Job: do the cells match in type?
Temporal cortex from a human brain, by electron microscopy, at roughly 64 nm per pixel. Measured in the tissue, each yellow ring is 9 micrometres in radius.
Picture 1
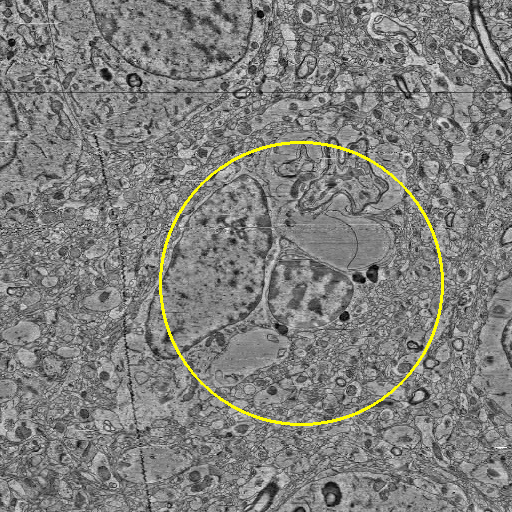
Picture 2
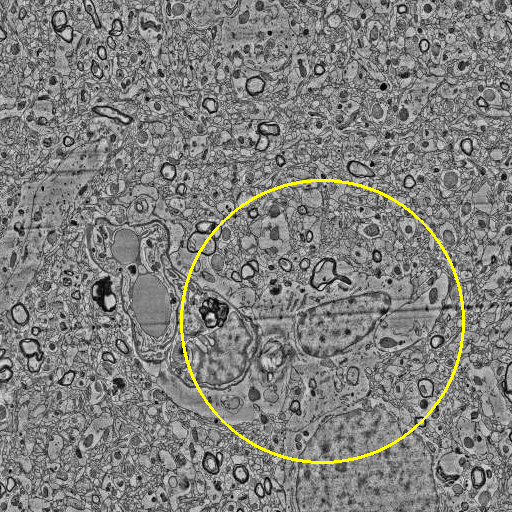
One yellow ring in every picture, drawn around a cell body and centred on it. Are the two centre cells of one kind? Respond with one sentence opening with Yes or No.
Yes, the ringed cells in the two pictures are of one and the same kind.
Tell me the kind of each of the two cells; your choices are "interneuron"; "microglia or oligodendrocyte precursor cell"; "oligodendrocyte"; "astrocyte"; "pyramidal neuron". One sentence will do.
In each picture the ringed cell is a microglial cell or oligodendrocyte precursor cell.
